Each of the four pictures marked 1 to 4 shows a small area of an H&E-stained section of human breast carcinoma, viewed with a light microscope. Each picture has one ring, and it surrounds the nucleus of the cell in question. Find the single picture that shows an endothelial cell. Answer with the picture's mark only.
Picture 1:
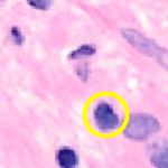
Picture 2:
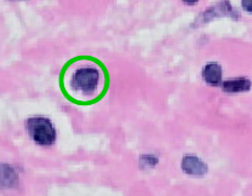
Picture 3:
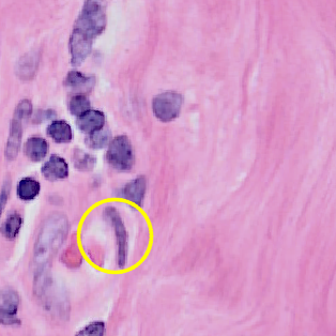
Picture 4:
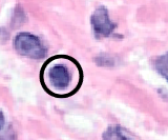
3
